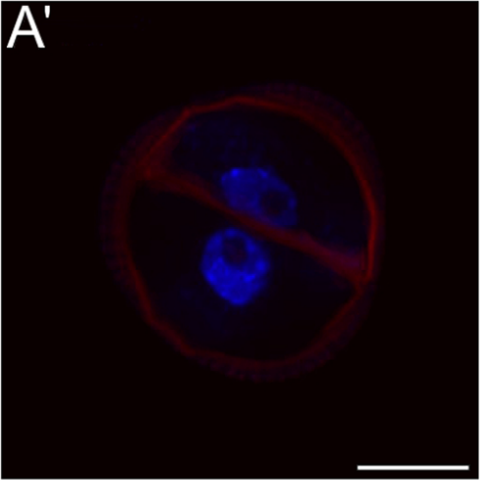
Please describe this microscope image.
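A single round spore is seen, its outline a thin red line with a faint regular pattern along the outer coat. A straight red wall crosses the interior and splits it into two cells, each with one rounded blue nucleus lying close to the dividing wall. This is an embryogenic microspore that has divided into two cells separated by a new wall.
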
